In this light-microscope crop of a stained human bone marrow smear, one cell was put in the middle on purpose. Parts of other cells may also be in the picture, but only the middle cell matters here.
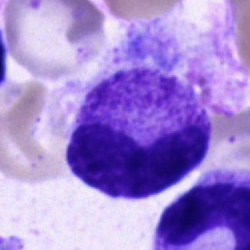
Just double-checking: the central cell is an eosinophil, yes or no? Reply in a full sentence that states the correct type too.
No, the central cell is classed as a metamyelocyte, not an eosinophil.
